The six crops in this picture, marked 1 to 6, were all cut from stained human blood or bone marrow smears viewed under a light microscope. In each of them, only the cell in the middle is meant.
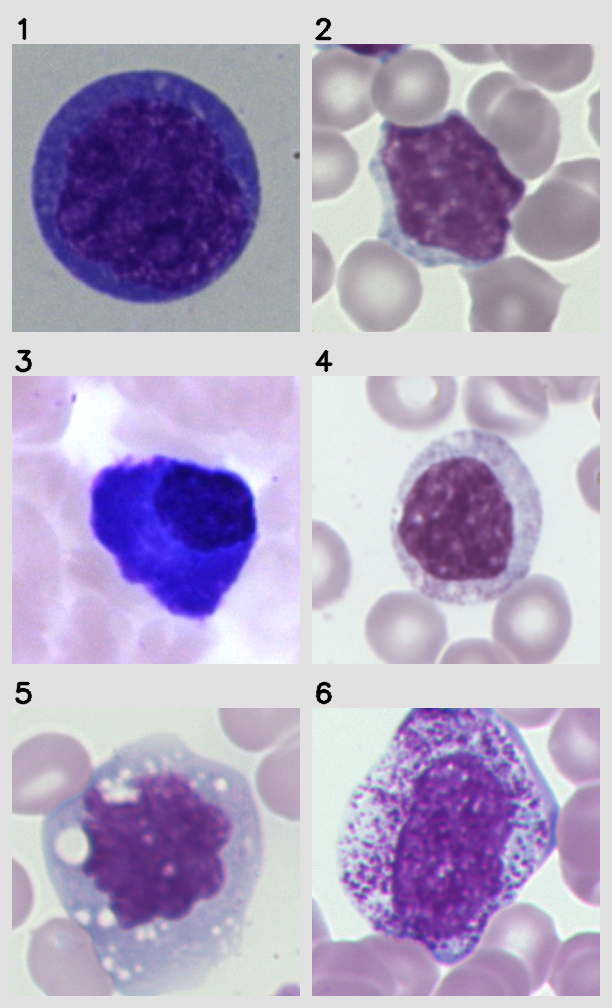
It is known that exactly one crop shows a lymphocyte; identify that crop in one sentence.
The crop carrying a lymphocyte at the center is crop 2.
